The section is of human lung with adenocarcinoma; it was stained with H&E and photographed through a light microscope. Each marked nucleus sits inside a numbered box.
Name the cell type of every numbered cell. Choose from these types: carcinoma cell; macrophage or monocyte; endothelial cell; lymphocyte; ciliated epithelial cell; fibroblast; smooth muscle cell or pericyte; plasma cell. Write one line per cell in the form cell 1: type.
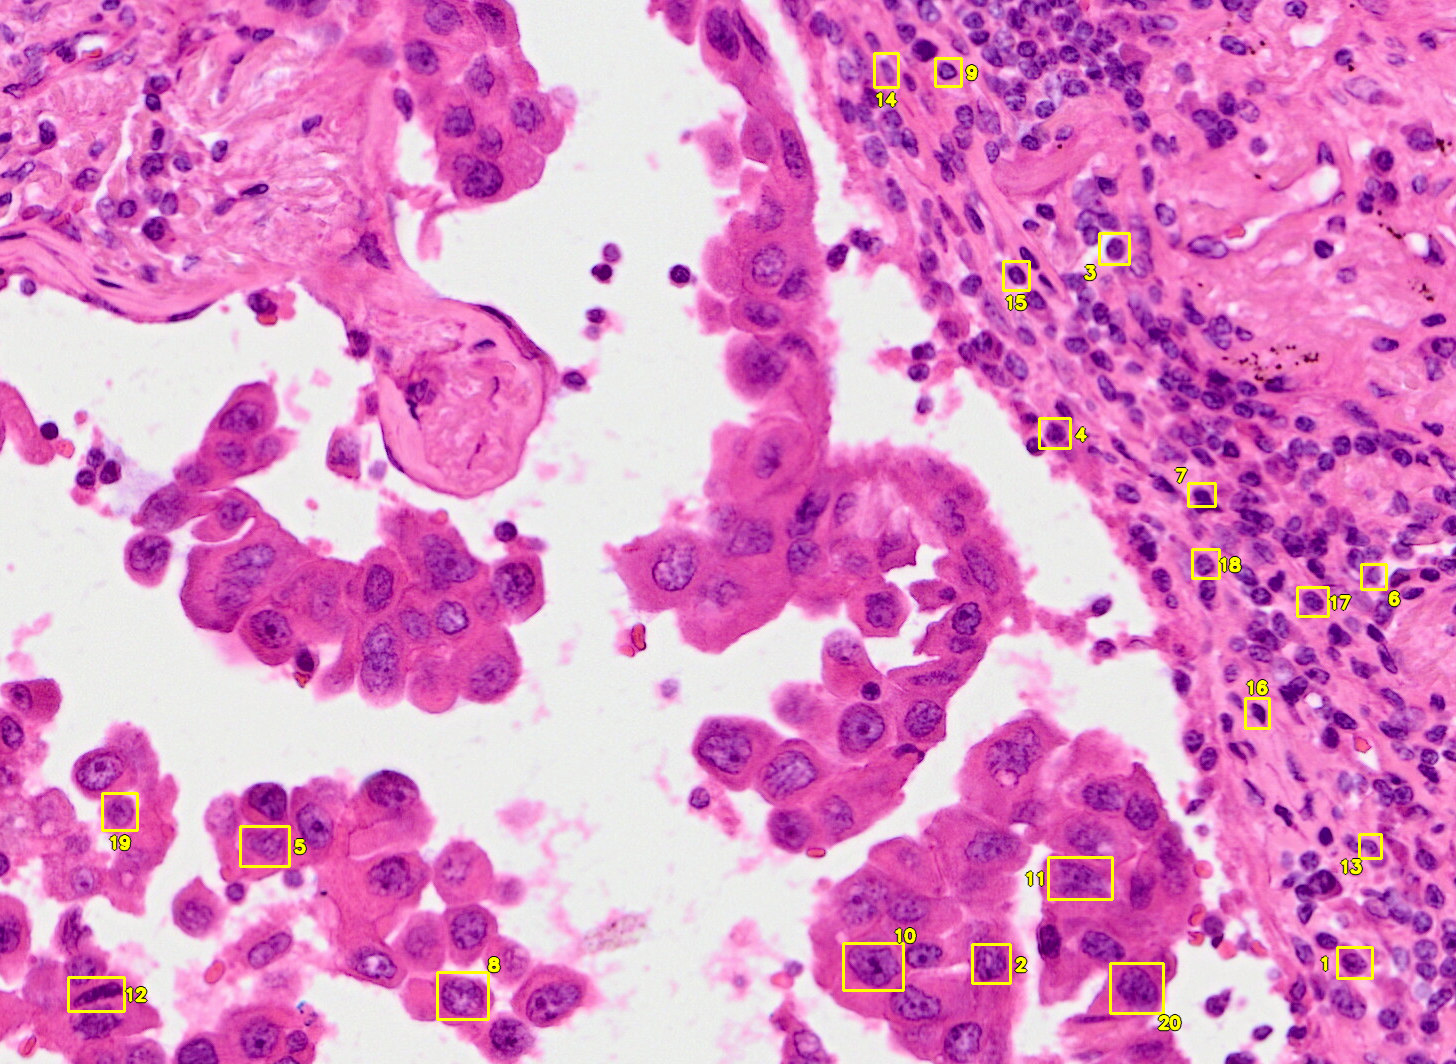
cell 1: plasma cell
cell 2: carcinoma cell
cell 3: lymphocyte
cell 4: lymphocyte
cell 5: carcinoma cell
cell 6: lymphocyte
cell 7: lymphocyte
cell 8: carcinoma cell
cell 9: lymphocyte
cell 10: carcinoma cell
cell 11: carcinoma cell
cell 12: carcinoma cell
cell 13: lymphocyte
cell 14: lymphocyte
cell 15: lymphocyte
cell 16: lymphocyte
cell 17: lymphocyte
cell 18: lymphocyte
cell 19: carcinoma cell
cell 20: carcinoma cell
